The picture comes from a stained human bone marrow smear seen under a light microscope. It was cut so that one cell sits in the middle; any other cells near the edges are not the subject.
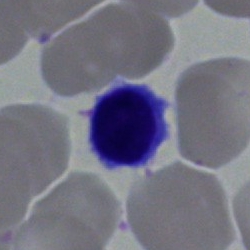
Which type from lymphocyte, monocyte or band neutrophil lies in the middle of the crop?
lymphocyte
